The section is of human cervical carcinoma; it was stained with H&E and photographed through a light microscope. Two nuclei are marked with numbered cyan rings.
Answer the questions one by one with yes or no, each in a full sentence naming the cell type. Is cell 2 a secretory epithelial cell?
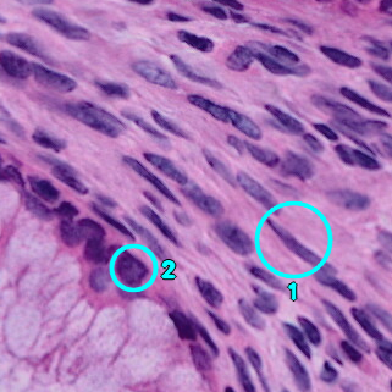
Yes, the cell at number 2 is a secretory epithelial cell.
